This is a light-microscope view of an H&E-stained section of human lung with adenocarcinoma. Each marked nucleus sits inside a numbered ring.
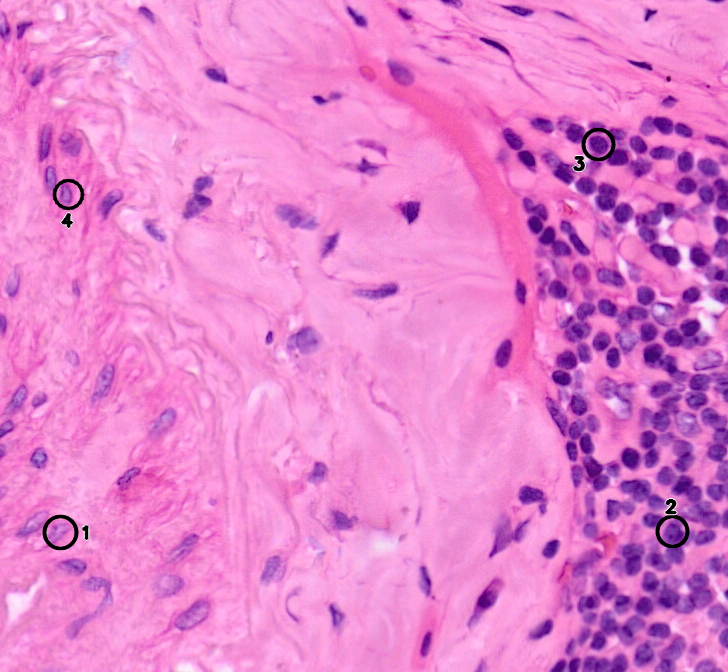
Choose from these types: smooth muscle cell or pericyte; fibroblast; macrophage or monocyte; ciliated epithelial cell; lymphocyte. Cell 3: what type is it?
lymphocyte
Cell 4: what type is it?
smooth muscle cell or pericyte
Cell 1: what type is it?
smooth muscle cell or pericyte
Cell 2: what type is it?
lymphocyte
